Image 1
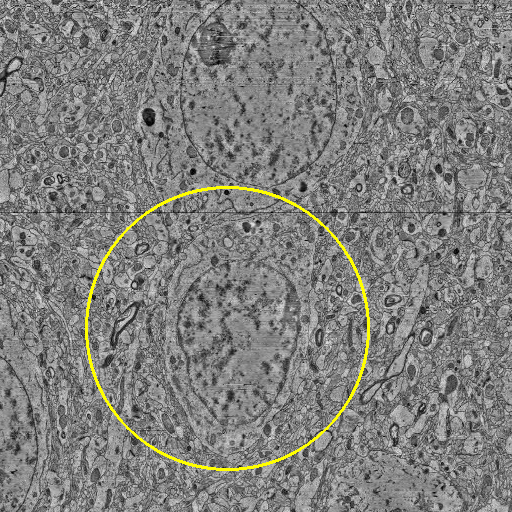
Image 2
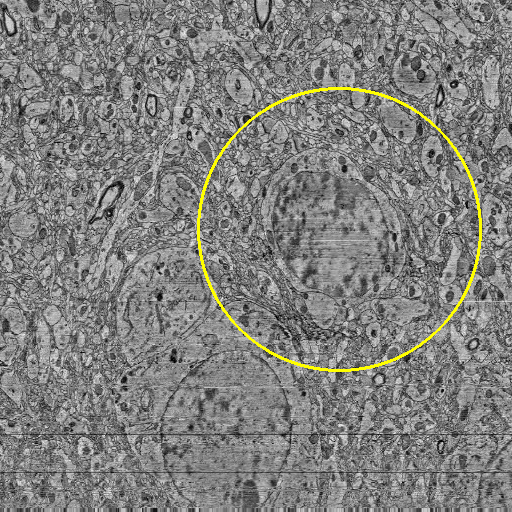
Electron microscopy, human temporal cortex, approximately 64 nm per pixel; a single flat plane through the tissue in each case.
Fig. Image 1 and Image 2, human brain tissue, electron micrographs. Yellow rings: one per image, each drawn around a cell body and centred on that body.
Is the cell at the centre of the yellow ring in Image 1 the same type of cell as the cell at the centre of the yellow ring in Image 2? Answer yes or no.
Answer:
yes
